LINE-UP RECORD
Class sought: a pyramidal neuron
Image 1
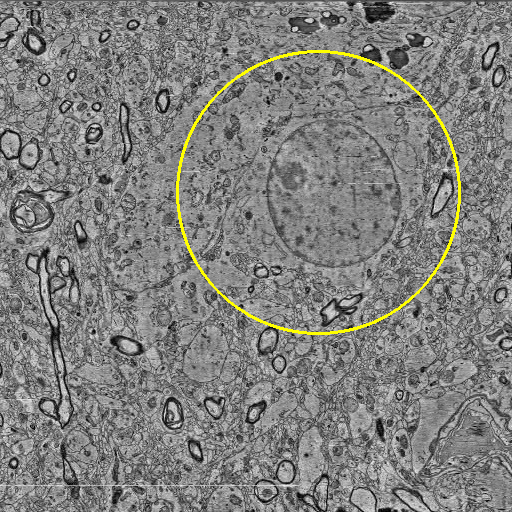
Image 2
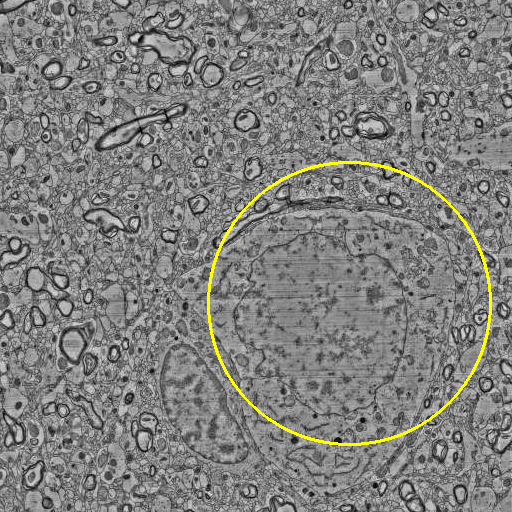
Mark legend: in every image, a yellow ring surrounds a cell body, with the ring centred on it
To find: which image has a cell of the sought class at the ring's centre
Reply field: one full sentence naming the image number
The ring-centred cell of image 2 belongs to the class sought.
